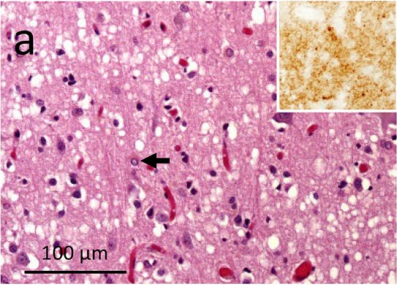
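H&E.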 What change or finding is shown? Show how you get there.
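Spongiform degeneration. Many small round clear holes are scattered through the pink neuropil. The holes are empty and sharply bounded.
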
